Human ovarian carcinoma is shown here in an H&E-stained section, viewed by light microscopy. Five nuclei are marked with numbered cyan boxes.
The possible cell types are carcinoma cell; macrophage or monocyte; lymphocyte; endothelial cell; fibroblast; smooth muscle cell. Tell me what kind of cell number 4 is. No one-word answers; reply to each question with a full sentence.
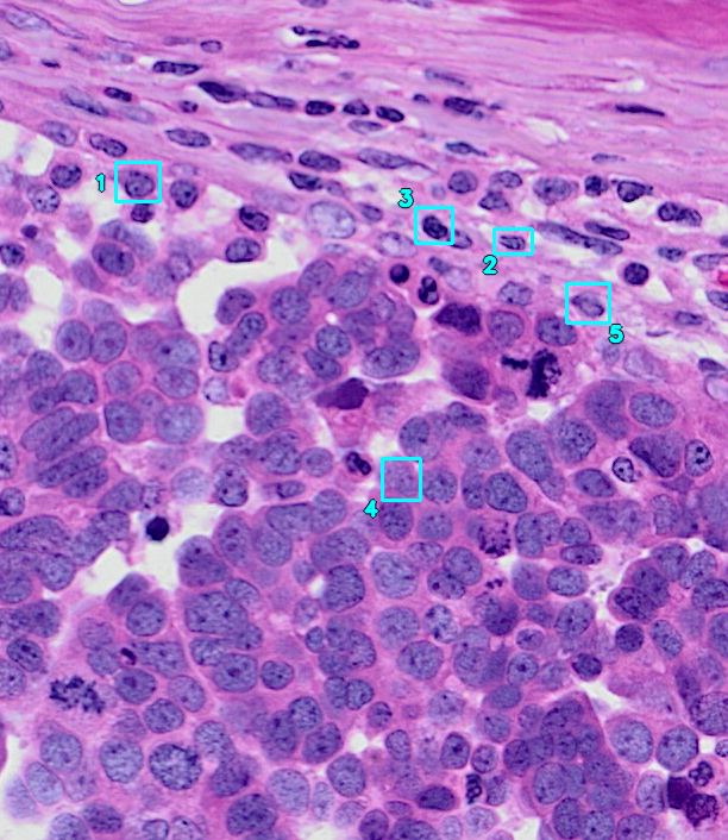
Number 4 among the marked cells is a carcinoma cell.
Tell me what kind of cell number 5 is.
The cell bearing label 5 corresponds to a macrophage or monocyte.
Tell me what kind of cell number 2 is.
Identified by the number 2, the cell is a lymphocyte.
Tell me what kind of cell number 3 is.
The cell indicated by marker 3 is a lymphocyte in this section.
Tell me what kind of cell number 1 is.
Heads up, the cell numbered 1 is a macrophage or monocyte.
